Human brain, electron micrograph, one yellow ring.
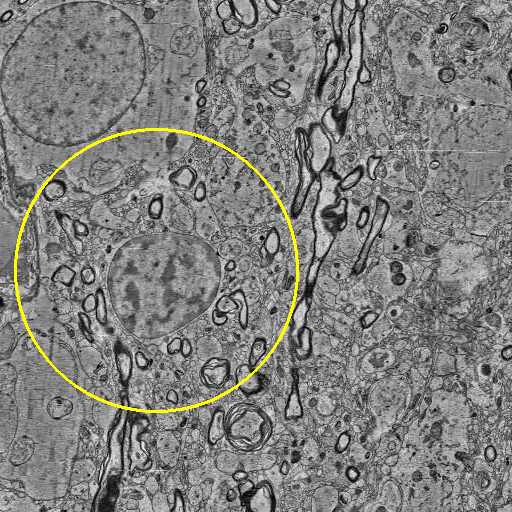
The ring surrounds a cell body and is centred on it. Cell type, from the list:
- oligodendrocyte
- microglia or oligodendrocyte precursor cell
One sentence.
The yellow ring circles a microglial cell or oligodendrocyte precursor cell.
